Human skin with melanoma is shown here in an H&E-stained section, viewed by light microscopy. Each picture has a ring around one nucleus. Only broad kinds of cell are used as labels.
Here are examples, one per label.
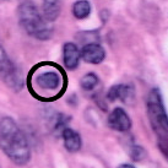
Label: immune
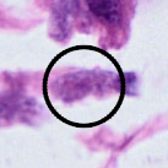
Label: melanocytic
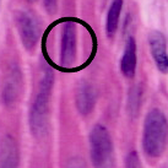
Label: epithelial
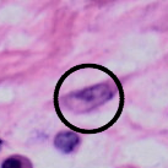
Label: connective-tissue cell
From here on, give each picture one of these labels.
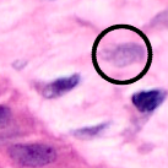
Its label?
connective-tissue cell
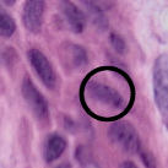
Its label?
epithelial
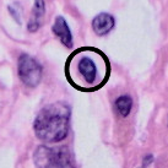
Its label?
immune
